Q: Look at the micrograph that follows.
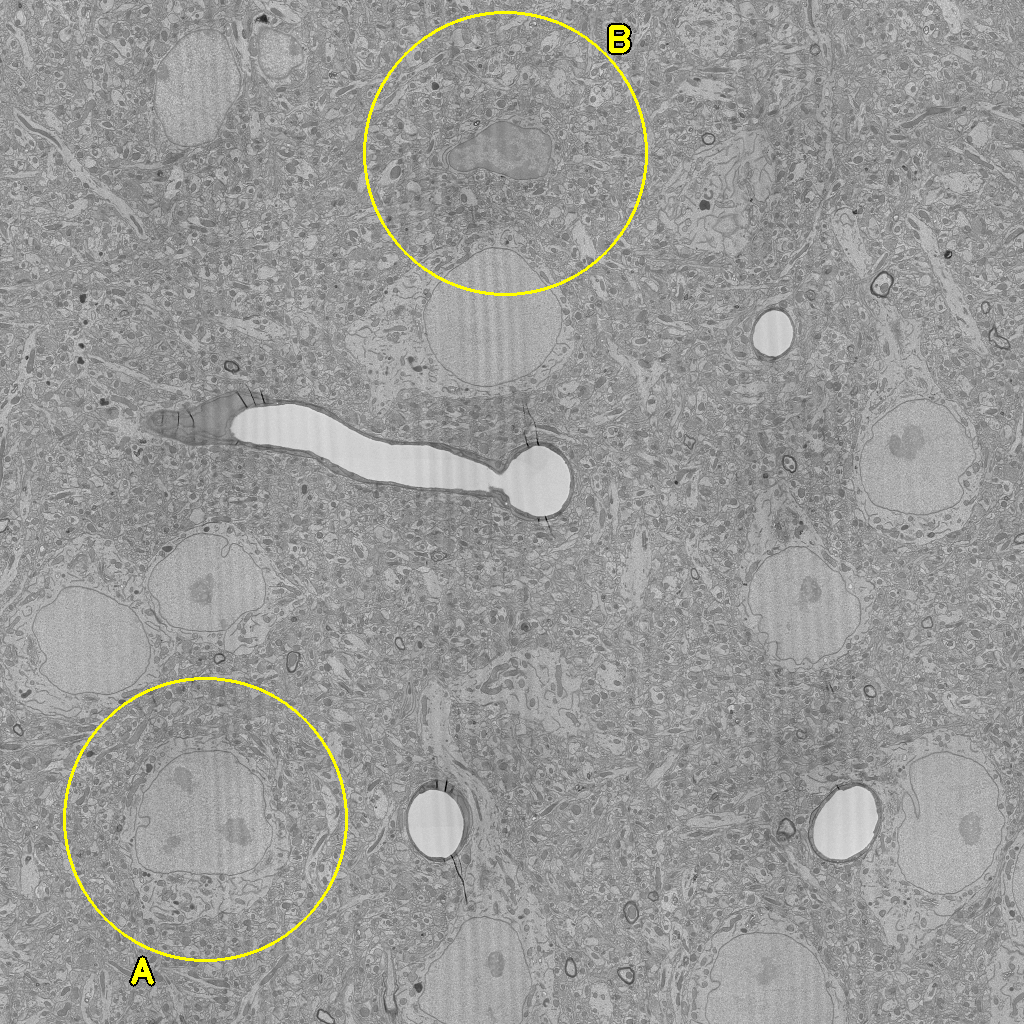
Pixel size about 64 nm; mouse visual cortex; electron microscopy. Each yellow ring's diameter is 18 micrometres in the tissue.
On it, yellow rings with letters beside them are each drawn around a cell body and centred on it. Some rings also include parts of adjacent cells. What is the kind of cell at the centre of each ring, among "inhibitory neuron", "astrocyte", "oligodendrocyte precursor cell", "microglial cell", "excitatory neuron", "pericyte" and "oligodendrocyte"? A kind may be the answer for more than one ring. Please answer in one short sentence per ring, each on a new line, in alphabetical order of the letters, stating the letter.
Ring A surrounds the cell body of an excitatory neuron.
Ring B surrounds the cell body of a microglial cell.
